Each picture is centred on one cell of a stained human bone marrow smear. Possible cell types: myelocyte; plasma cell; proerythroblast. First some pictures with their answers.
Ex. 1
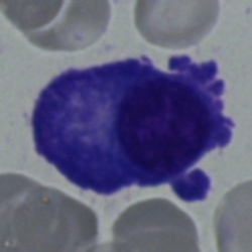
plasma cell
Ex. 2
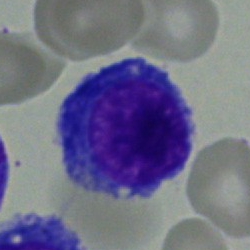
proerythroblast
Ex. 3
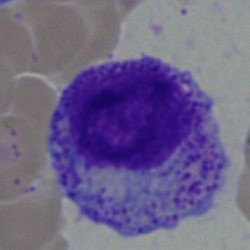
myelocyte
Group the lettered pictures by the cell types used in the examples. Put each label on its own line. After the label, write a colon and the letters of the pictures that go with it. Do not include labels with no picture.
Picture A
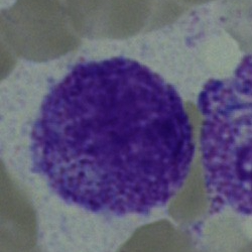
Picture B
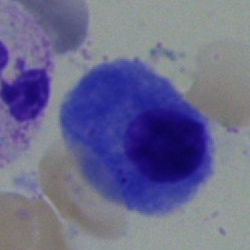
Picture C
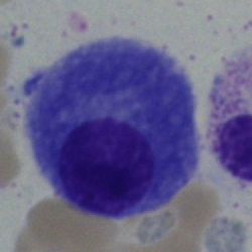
myelocyte: A
plasma cell: B, C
